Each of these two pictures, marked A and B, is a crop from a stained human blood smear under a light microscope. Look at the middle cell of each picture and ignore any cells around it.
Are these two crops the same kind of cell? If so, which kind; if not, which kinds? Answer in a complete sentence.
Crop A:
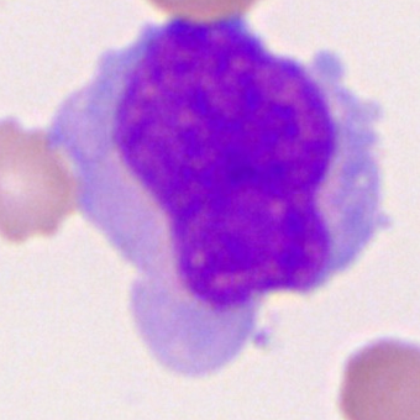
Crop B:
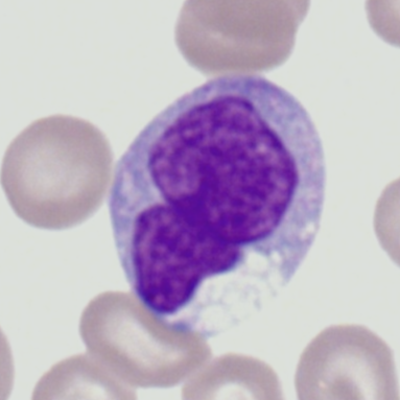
Yes, in both crops, monocytes are the cells at the middle.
